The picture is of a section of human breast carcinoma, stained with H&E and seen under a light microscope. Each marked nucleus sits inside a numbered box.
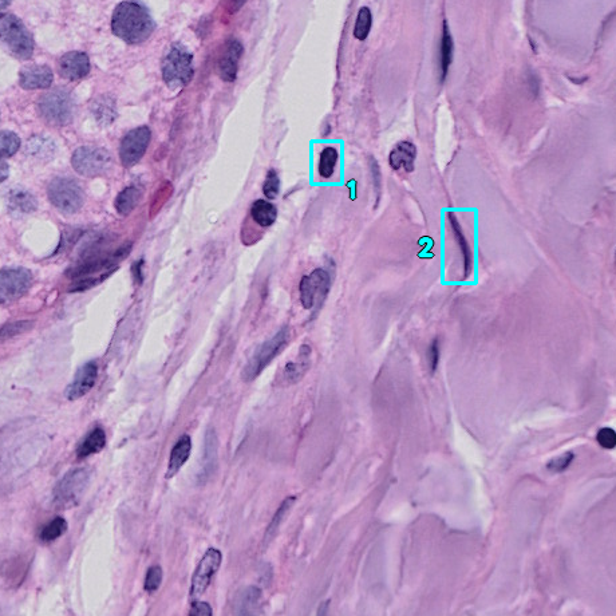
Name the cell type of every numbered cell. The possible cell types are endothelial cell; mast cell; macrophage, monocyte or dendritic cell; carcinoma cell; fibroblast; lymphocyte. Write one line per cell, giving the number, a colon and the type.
1: lymphocyte
2: fibroblast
